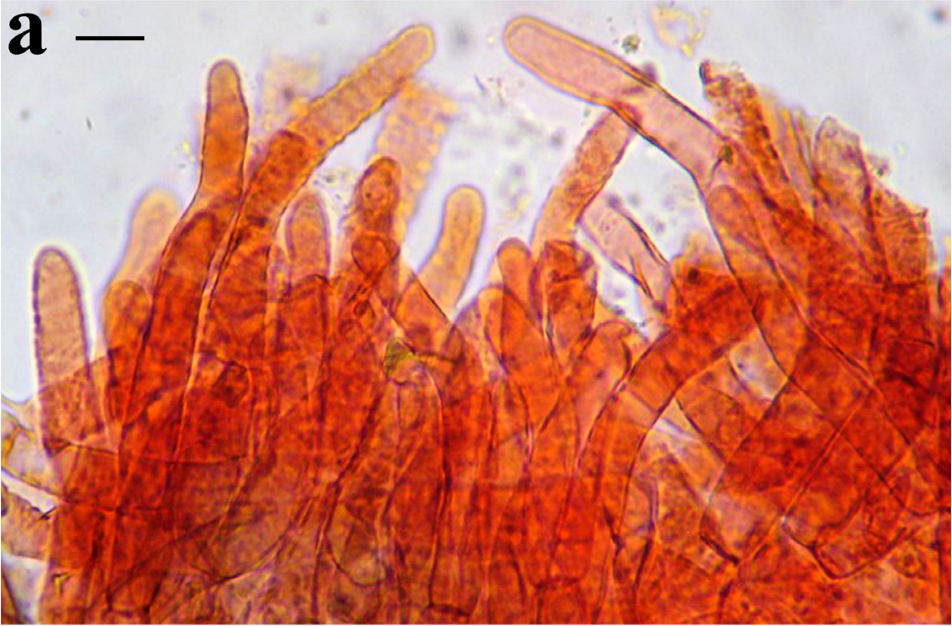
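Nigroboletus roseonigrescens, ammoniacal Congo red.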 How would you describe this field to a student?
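The hyphae are divided by cross walls into elongated cells, and their free ends are simple and rounded. The stain colours most of the hyphae a deep orange-red, while some of the projecting terminal cells look paler and pinkish. Lower down the hyphae crowd and overlap, so their outlines interweave into a dense mass.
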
